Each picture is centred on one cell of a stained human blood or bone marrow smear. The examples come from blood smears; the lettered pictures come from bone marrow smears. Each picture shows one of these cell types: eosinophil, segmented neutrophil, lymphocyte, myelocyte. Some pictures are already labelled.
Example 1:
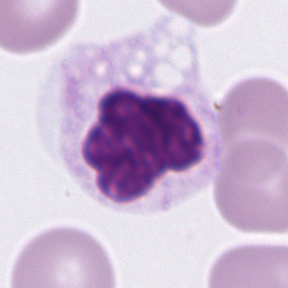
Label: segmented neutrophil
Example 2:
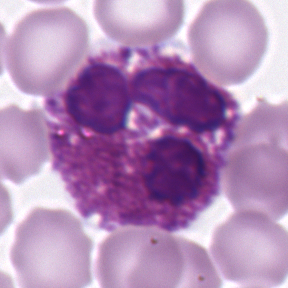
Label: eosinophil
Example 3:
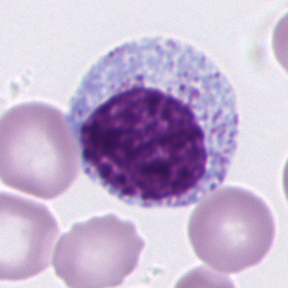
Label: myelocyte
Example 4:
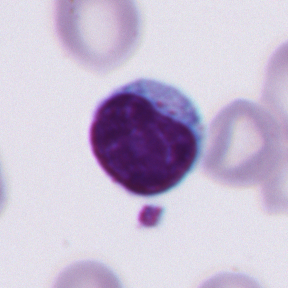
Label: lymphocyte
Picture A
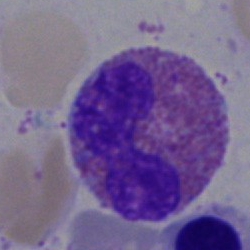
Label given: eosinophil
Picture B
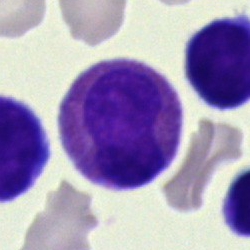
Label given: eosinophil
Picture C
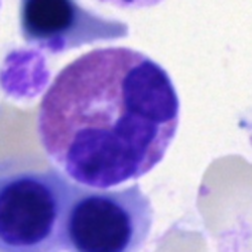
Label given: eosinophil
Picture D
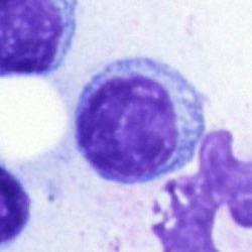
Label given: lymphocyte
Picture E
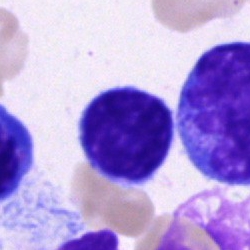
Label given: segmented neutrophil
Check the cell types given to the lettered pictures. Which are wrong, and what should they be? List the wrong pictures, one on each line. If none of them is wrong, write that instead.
E should be lymphocyte, not segmented neutrophil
